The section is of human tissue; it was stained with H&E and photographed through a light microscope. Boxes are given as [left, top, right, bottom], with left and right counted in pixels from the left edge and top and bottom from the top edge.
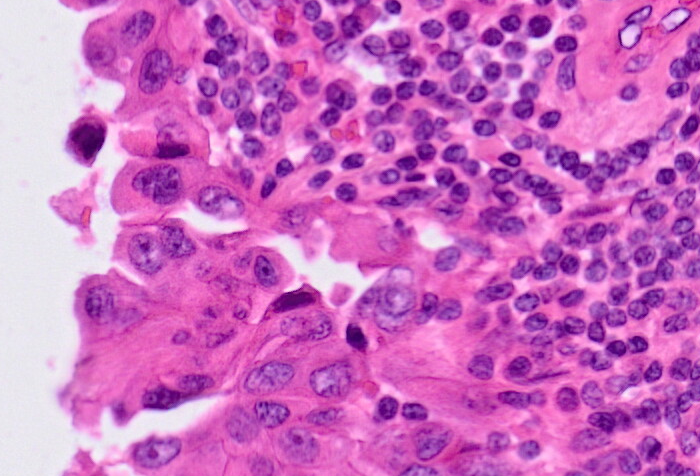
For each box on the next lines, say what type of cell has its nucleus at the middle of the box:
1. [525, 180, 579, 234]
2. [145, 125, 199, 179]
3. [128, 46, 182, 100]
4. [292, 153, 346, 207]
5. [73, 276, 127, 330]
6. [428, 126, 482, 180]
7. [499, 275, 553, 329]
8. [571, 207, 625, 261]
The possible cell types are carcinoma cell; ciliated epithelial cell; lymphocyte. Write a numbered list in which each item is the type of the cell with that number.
1. lymphocyte
2. carcinoma cell
3. carcinoma cell
4. lymphocyte
5. carcinoma cell
6. lymphocyte
7. lymphocyte
8. lymphocyte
